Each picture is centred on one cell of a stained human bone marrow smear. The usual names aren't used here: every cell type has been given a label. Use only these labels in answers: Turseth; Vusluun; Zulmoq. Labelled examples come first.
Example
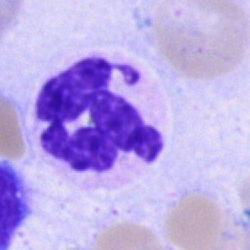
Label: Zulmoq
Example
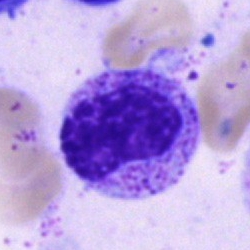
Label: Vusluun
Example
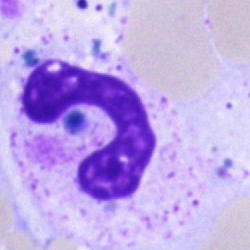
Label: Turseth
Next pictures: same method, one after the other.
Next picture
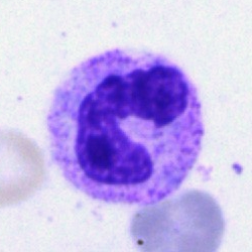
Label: Turseth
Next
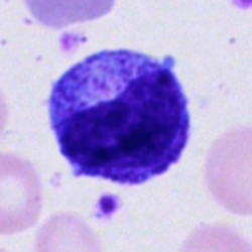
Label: Vusluun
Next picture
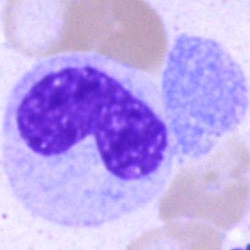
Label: Vusluun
